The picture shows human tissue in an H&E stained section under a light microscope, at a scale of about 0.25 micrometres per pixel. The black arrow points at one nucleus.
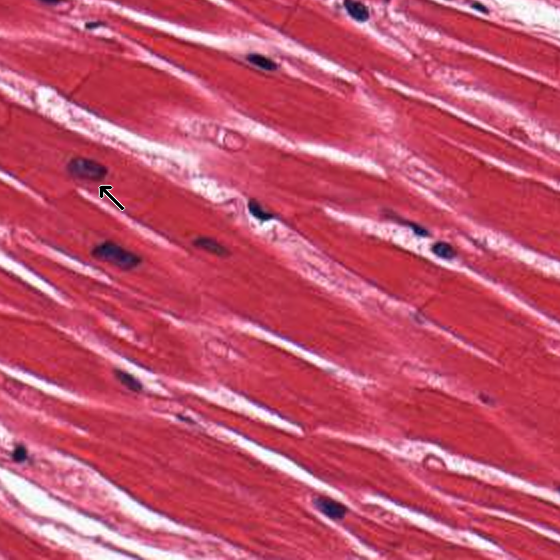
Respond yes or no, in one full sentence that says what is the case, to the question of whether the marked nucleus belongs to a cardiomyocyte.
Yes, the marked nucleus lies within a cardiomyocyte.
